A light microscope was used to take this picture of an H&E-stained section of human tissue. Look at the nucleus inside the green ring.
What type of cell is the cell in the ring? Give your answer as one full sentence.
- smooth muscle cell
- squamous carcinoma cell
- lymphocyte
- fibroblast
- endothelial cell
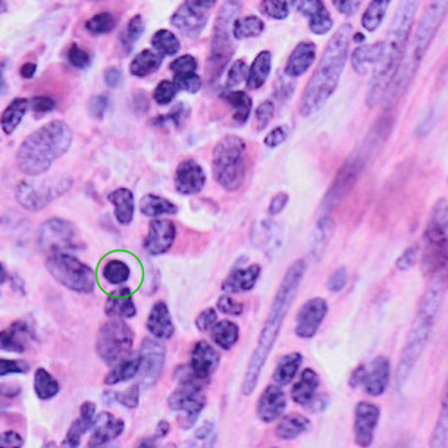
Speaking plainly, the cell in the ring is nothing other than a lymphocyte.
